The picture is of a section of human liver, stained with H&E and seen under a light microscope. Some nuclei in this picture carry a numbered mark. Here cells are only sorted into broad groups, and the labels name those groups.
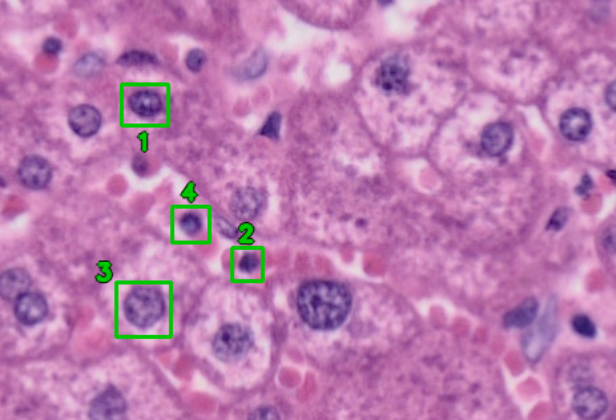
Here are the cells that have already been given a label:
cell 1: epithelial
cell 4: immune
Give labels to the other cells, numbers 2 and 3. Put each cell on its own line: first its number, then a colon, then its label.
2: immune
3: epithelial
